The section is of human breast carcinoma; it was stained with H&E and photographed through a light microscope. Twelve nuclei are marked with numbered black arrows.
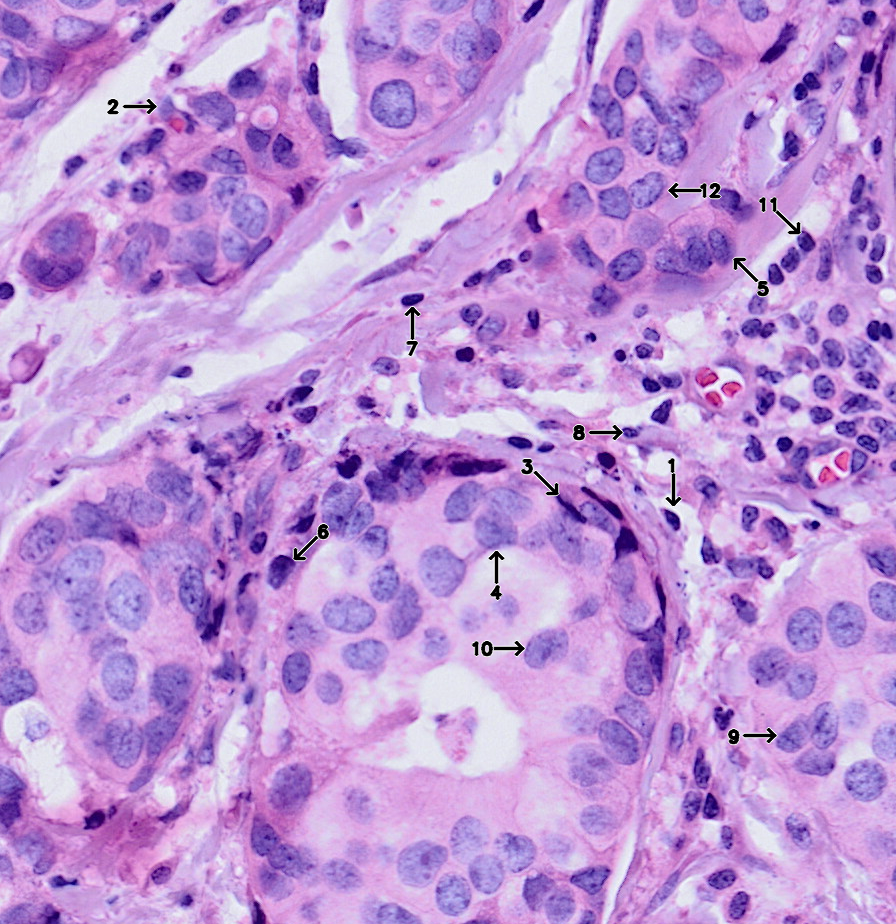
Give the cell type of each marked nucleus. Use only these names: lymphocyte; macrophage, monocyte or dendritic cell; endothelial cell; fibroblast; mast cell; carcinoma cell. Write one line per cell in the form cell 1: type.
cell 1: lymphocyte
cell 2: endothelial cell
cell 3: carcinoma cell
cell 4: carcinoma cell
cell 5: carcinoma cell
cell 6: carcinoma cell
cell 7: lymphocyte
cell 8: lymphocyte
cell 9: carcinoma cell
cell 10: carcinoma cell
cell 11: lymphocyte
cell 12: carcinoma cell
